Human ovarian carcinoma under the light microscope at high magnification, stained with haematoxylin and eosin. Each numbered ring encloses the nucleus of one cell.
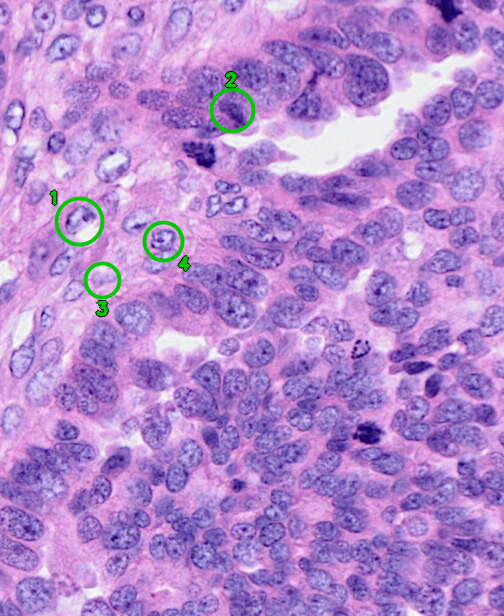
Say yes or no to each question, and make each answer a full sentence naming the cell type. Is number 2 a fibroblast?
No, cell number 2 is identified as a carcinoma cell, not as a fibroblast.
